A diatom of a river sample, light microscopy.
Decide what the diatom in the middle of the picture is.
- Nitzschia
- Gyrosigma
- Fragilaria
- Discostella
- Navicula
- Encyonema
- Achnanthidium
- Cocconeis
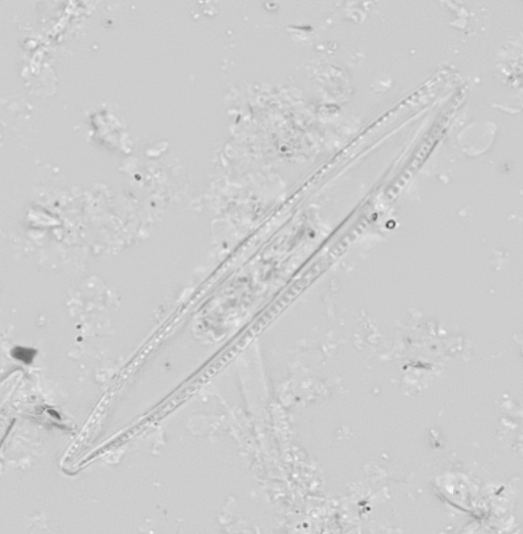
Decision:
Nitzschia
